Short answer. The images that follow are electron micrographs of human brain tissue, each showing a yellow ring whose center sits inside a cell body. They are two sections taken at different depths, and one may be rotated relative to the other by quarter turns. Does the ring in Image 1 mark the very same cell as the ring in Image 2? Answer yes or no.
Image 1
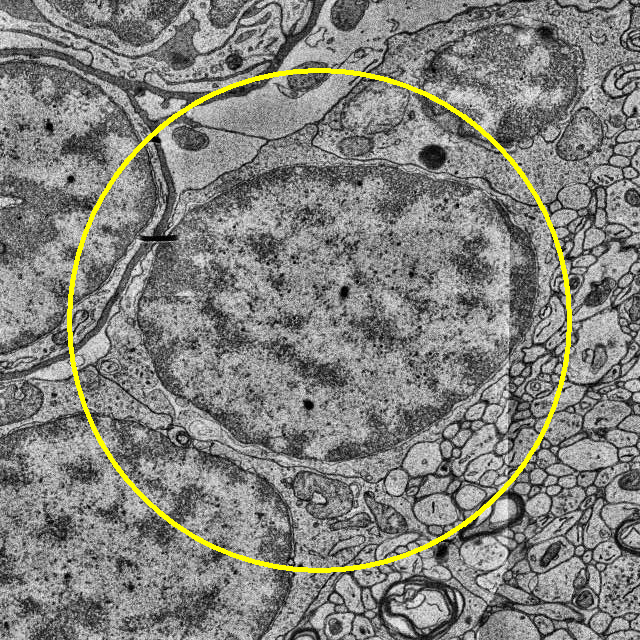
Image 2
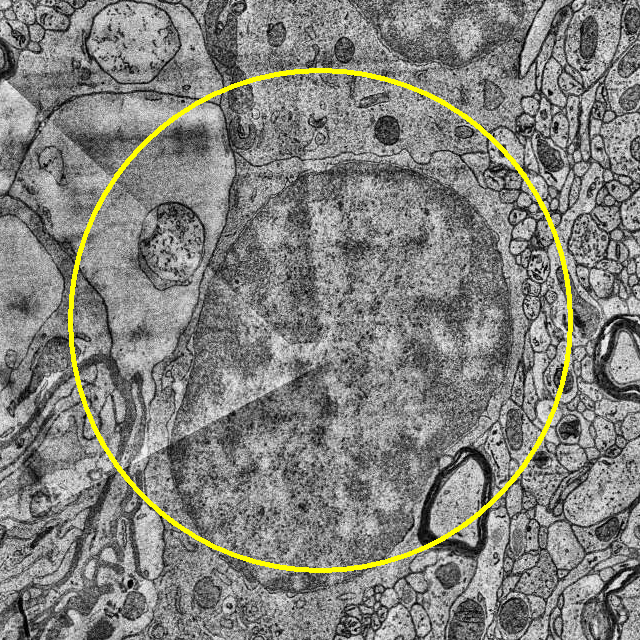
no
